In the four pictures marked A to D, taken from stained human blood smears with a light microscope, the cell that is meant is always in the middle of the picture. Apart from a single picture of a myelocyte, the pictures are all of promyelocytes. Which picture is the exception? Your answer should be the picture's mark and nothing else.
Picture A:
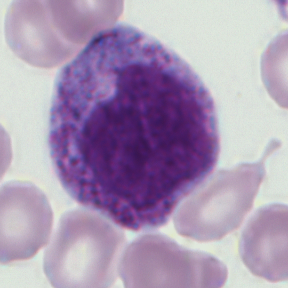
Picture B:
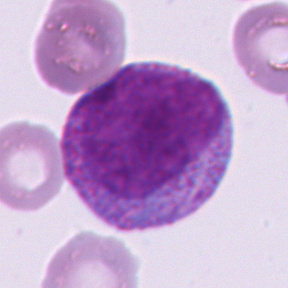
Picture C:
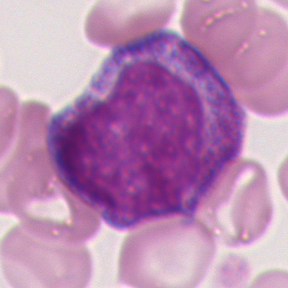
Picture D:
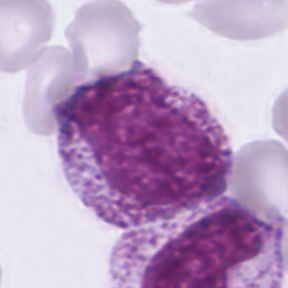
D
